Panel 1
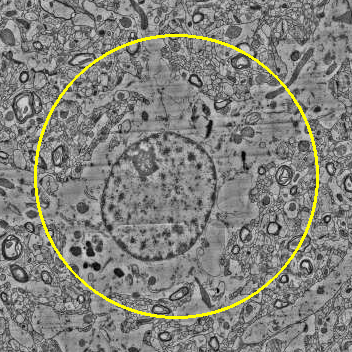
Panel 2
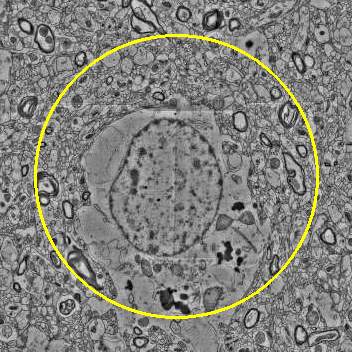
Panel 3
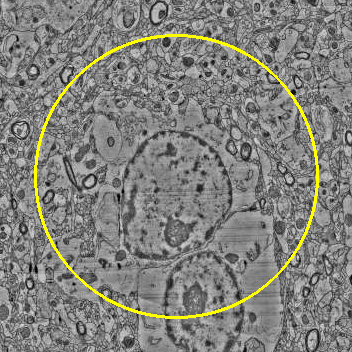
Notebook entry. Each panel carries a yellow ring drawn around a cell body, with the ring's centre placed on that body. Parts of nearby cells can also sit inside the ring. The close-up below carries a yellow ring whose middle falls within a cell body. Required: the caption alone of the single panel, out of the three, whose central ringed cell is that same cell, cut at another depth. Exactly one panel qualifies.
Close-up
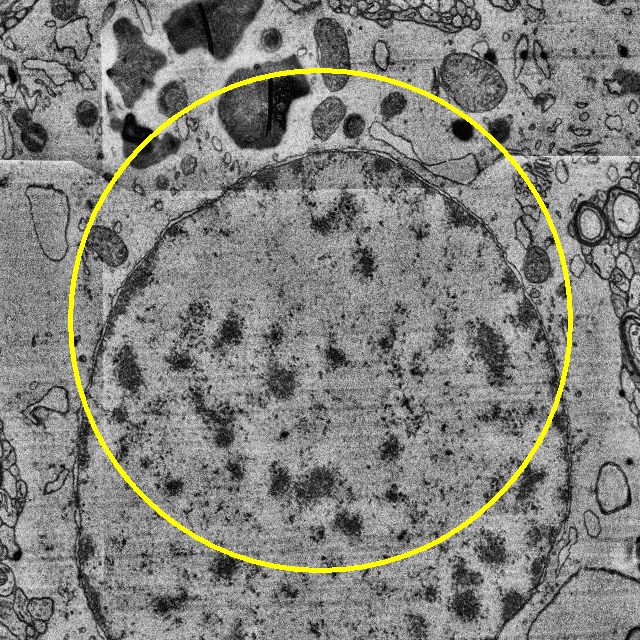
Panel 3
